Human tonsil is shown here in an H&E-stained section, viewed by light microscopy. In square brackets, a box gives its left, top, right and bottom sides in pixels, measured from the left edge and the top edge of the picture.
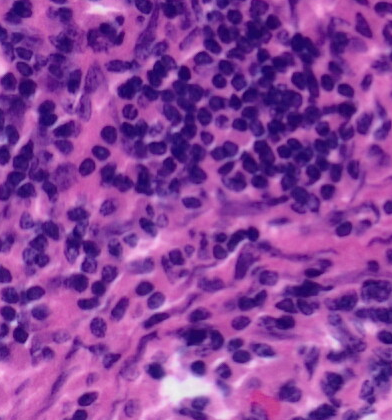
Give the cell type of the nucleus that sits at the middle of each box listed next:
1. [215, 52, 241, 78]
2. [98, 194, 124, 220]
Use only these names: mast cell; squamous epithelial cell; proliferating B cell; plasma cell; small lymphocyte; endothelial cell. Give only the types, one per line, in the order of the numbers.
small lymphocyte
plasma cell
